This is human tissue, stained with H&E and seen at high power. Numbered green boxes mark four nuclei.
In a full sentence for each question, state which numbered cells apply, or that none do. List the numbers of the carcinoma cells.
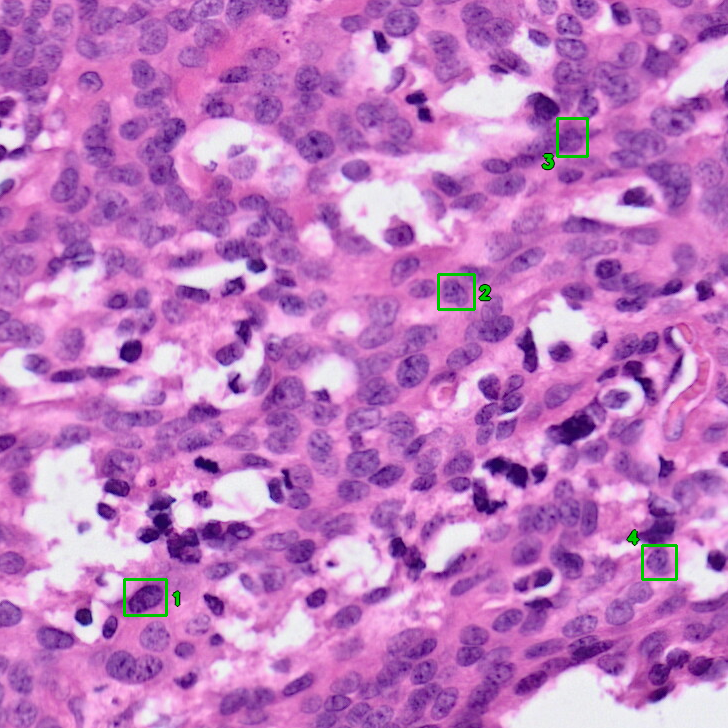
The cells marked 1, 2 and 3 in the section are carcinoma cells.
